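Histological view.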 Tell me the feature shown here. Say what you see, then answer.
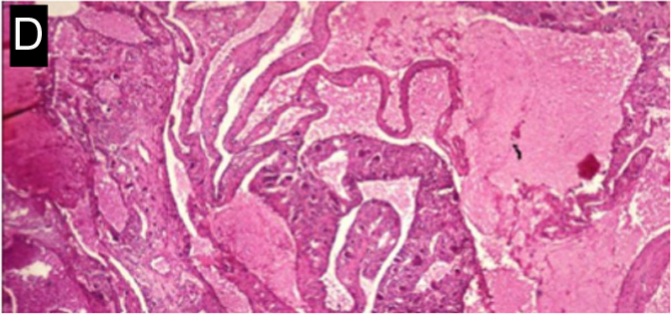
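Large irregular spaces contain pale pink, finely granular material. Thin tissue walls separate these spaces. That points to this answer: cavernous spaces filled with blood.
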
